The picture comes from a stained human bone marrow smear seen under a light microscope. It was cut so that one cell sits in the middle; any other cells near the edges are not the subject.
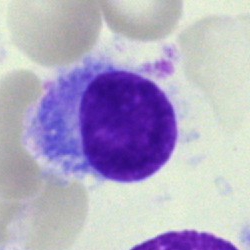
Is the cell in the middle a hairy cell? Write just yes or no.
yes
